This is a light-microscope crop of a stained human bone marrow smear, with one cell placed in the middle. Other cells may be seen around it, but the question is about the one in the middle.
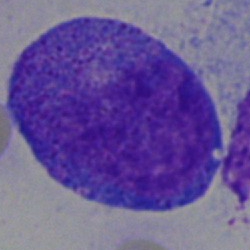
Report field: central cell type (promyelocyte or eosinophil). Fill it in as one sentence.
The middle cell in this particular crop is a promyelocyte.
